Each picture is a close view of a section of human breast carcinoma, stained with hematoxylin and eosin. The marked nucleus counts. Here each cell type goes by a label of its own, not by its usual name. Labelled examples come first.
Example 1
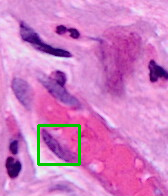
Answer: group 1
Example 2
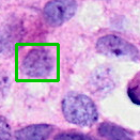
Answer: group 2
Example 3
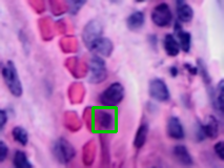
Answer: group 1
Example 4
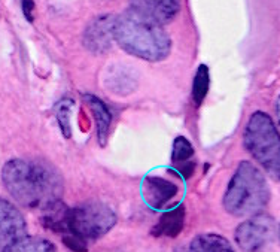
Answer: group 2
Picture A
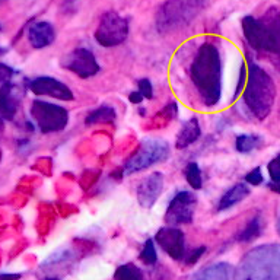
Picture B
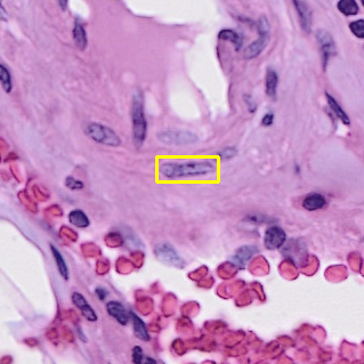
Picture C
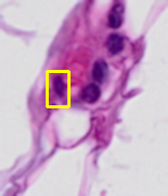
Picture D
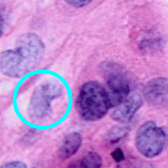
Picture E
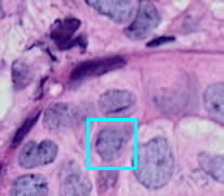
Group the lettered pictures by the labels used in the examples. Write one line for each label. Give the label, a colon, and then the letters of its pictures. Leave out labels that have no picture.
group 1: B, C
group 2: A, D, E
